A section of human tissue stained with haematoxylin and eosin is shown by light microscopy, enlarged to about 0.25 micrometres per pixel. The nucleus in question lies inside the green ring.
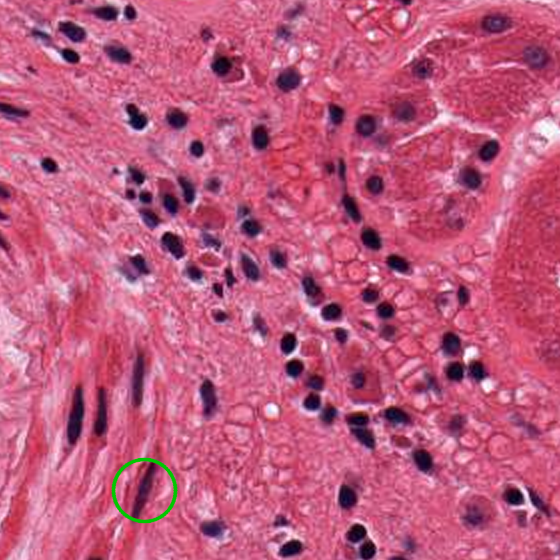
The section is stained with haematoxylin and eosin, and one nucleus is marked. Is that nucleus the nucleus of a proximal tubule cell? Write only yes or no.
no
